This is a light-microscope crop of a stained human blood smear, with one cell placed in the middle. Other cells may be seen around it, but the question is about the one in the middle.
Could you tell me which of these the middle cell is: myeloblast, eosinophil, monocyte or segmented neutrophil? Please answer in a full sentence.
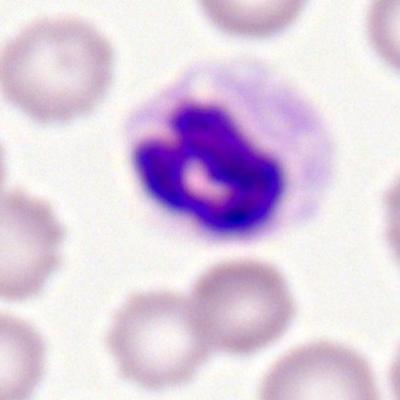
The cell at the middle of the frame should be recorded as a segmented neutrophil.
